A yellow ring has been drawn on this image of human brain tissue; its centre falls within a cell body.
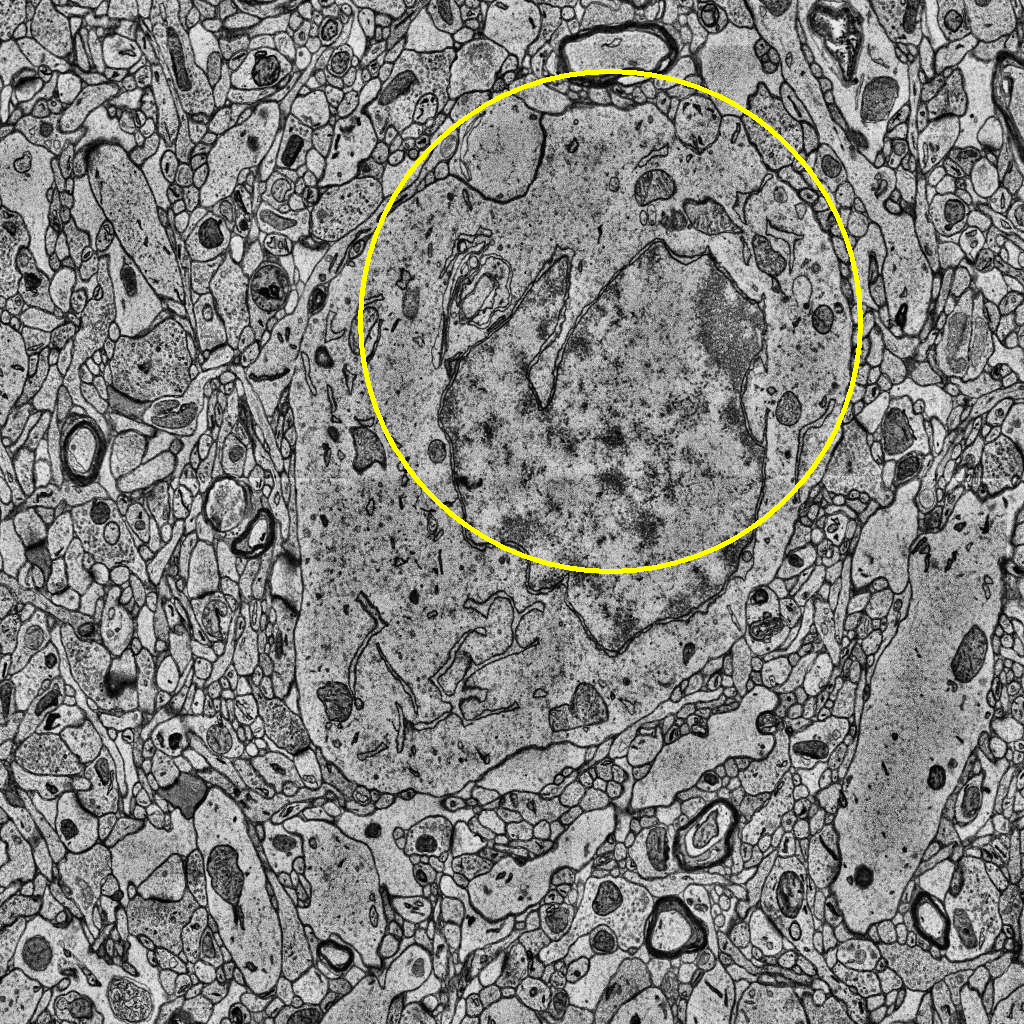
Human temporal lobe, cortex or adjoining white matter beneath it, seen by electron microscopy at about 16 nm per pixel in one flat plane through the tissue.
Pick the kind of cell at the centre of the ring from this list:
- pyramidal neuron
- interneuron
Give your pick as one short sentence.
The centre of the ring holds an interneuron.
